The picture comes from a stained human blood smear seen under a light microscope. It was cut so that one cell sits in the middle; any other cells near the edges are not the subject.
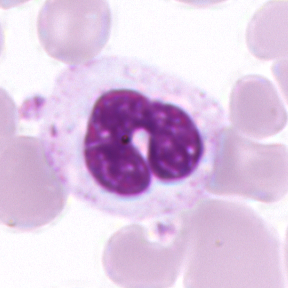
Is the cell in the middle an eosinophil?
no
